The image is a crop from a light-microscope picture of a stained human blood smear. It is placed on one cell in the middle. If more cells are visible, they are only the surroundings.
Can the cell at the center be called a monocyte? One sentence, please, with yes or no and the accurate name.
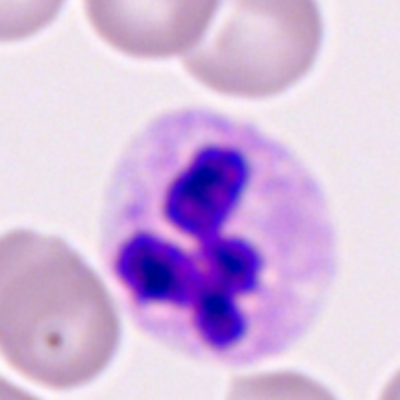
No, the middle one is a segmented neutrophil rather than a monocyte.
